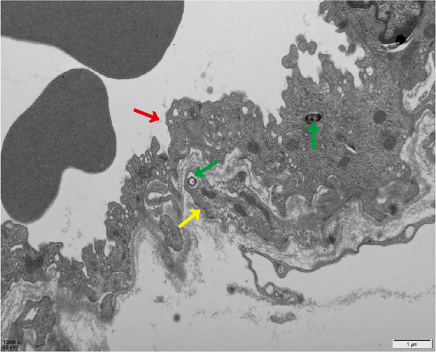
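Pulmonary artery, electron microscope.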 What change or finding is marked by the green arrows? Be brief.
Autophagy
